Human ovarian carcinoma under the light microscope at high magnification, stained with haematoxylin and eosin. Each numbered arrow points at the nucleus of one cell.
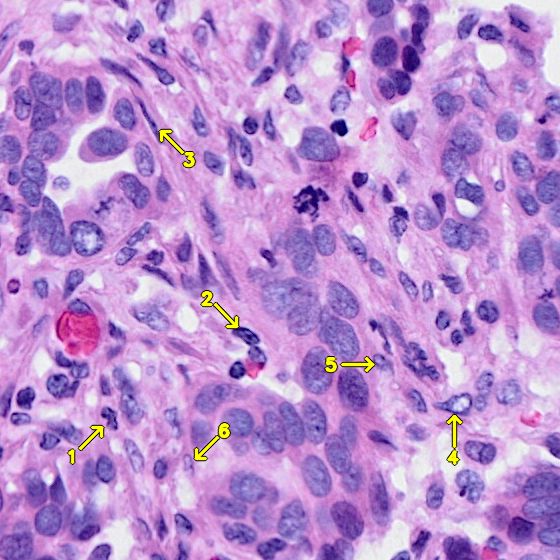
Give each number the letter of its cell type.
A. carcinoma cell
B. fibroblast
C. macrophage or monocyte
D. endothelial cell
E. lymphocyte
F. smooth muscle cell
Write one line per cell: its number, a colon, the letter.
1: E
2: E
3: B
4: B
5: B
6: B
